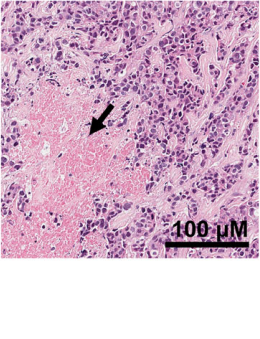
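This is tumor tissue in which cords and sheets of tumor cells with dark purple nuclei are crowded together, separated by pink strands of stroma. On the left lies a pale pink area with hardly any nuclei left, the necrotic area the arrow points to.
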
